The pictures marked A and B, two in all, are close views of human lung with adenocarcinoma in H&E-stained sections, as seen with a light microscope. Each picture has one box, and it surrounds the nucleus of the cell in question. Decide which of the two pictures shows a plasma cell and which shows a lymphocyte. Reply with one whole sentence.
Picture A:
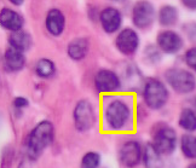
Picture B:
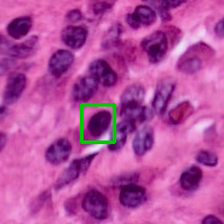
The cell in picture A is a lymphocyte, and the one in picture B is a plasma cell.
